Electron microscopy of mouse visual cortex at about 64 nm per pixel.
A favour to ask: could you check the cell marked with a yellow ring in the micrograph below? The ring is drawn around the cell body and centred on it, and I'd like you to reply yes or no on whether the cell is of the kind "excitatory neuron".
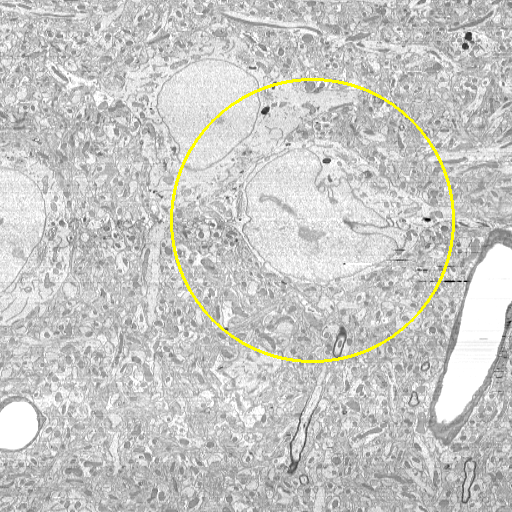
no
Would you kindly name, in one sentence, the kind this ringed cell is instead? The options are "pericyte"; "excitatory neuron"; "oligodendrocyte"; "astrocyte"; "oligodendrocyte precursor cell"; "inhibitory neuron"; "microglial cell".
Instead, the cell inside the ring is an inhibitory neuron.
